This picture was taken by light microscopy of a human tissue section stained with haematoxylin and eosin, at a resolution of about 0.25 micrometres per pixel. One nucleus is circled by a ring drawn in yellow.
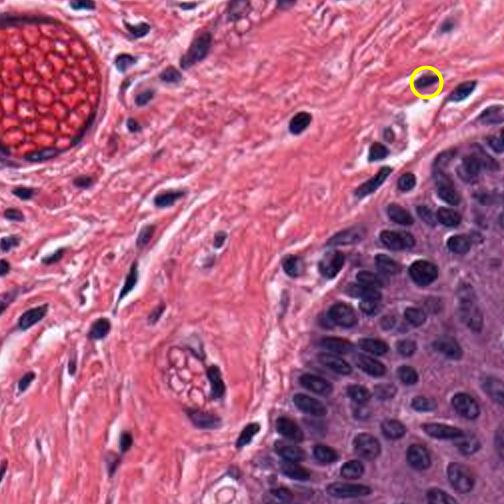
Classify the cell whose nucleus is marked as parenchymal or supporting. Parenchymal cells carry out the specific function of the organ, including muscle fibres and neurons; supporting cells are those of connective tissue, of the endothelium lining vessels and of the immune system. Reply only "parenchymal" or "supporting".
supporting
